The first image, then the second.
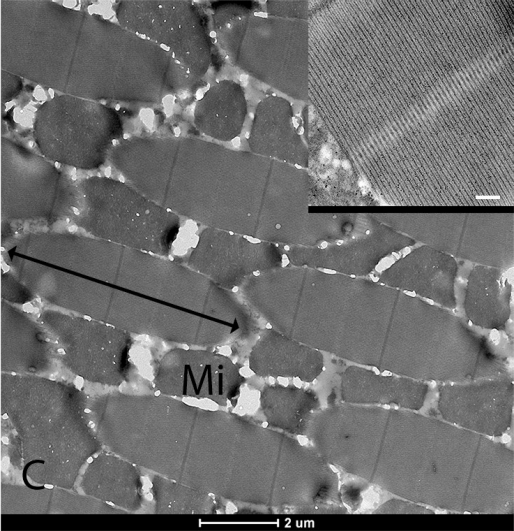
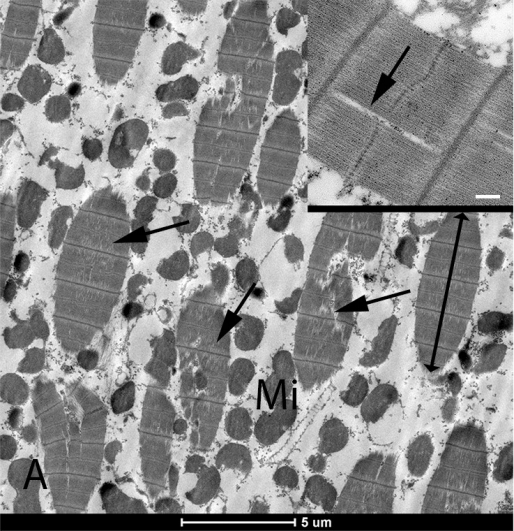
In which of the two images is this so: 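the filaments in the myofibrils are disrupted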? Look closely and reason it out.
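First image: myofibrils are evenly dense with regular bands, and the inset shows an ordered, continuous filament lattice. Second image: several myofibrils contain pale, streaky irregular zones, and the inset shows a pale gap through the filaments.
Answer: the second image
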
